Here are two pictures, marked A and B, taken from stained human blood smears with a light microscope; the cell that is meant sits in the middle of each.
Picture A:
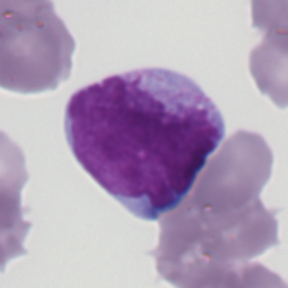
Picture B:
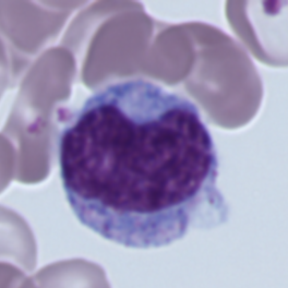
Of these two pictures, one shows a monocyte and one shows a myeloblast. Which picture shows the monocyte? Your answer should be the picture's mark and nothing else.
B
